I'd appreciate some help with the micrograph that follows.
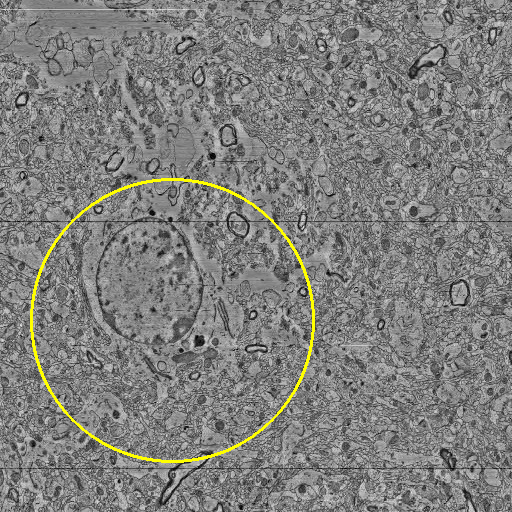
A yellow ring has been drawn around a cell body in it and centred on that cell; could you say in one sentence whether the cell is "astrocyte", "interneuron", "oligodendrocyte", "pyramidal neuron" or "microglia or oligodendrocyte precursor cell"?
It is an astrocyte at the centre of the ring.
